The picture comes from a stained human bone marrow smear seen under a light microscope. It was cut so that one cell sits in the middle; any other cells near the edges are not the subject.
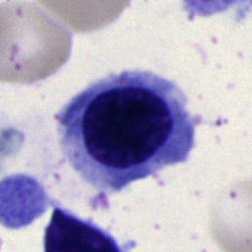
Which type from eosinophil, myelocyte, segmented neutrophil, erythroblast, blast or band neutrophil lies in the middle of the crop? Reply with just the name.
erythroblast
